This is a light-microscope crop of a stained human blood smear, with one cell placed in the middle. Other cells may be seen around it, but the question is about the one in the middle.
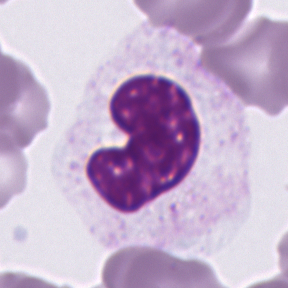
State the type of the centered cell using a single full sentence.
The target cell in the middle of the crop is a band neutrophil.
